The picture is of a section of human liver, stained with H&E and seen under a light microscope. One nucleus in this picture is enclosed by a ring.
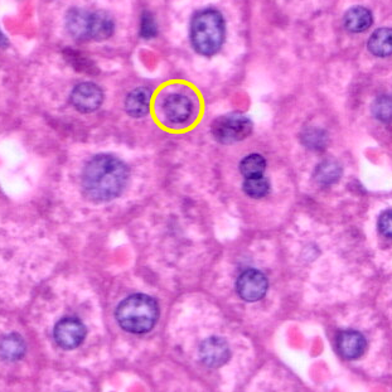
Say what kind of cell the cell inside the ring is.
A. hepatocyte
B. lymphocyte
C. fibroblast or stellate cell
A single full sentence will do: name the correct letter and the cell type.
Option A gets it right, as the cell inside the ring is a hepatocyte.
